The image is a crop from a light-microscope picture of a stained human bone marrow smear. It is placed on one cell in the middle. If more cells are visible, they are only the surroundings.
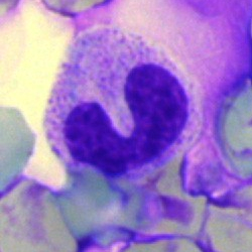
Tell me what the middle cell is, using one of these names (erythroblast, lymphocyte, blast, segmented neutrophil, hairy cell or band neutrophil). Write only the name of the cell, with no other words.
band neutrophil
